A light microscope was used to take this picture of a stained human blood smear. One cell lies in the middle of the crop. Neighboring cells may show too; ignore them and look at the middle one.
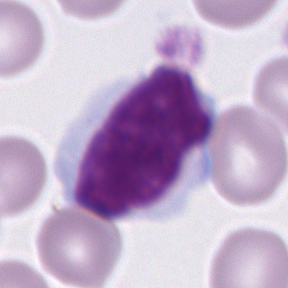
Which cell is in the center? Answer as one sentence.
Framed in the middle of the crop is a typical lymphocyte.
